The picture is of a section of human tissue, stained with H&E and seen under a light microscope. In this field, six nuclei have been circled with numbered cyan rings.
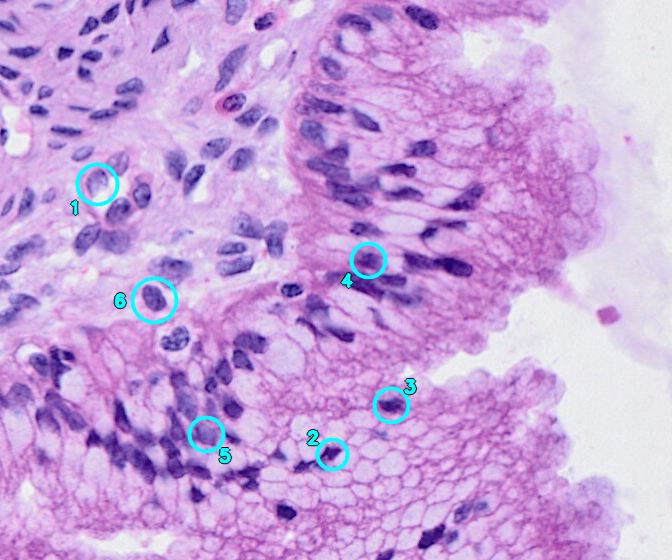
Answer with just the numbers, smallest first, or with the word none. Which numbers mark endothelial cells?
1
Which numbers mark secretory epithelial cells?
2, 3, 4, 5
